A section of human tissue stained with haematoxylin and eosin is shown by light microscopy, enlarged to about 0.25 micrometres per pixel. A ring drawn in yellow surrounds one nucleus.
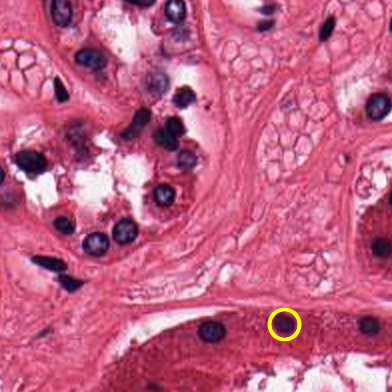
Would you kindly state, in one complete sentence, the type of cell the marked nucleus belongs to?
The marked nucleus is part of a proximal tubule cell.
